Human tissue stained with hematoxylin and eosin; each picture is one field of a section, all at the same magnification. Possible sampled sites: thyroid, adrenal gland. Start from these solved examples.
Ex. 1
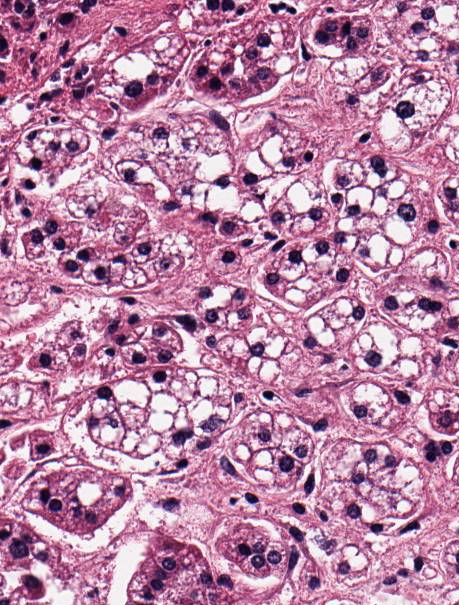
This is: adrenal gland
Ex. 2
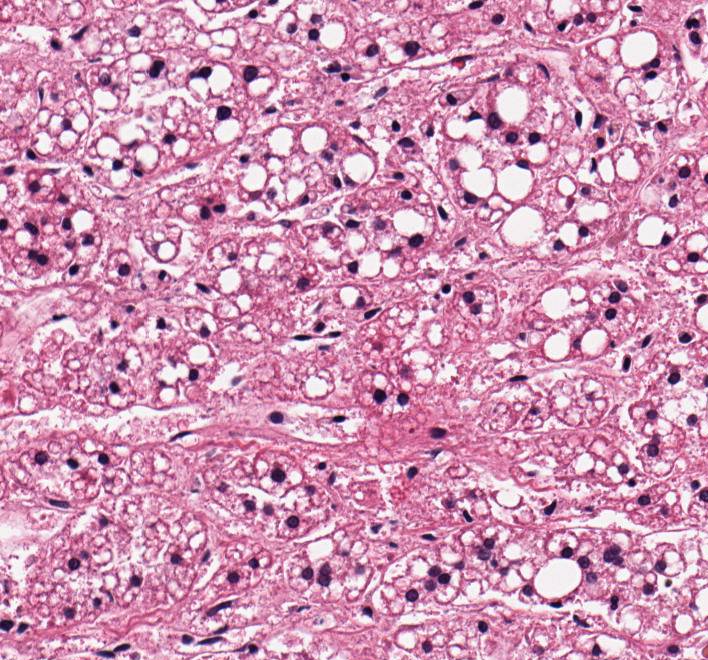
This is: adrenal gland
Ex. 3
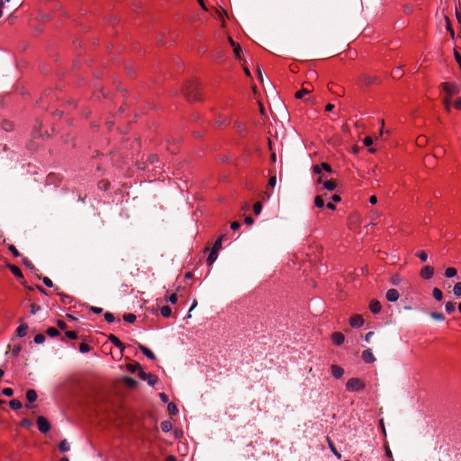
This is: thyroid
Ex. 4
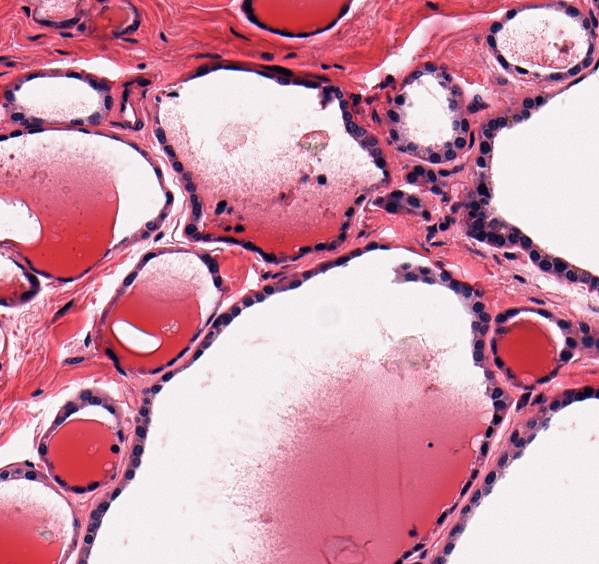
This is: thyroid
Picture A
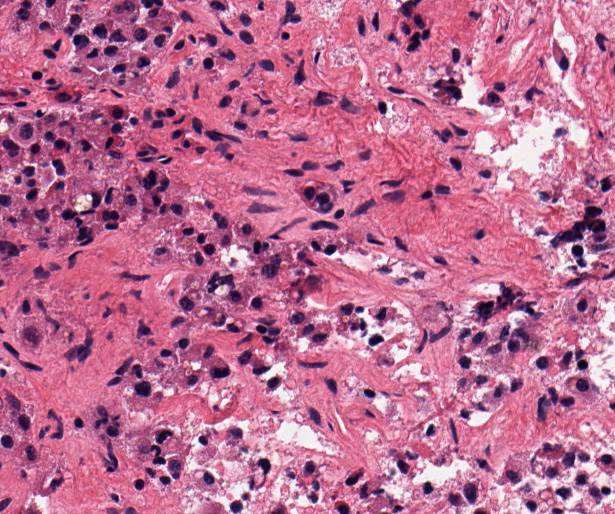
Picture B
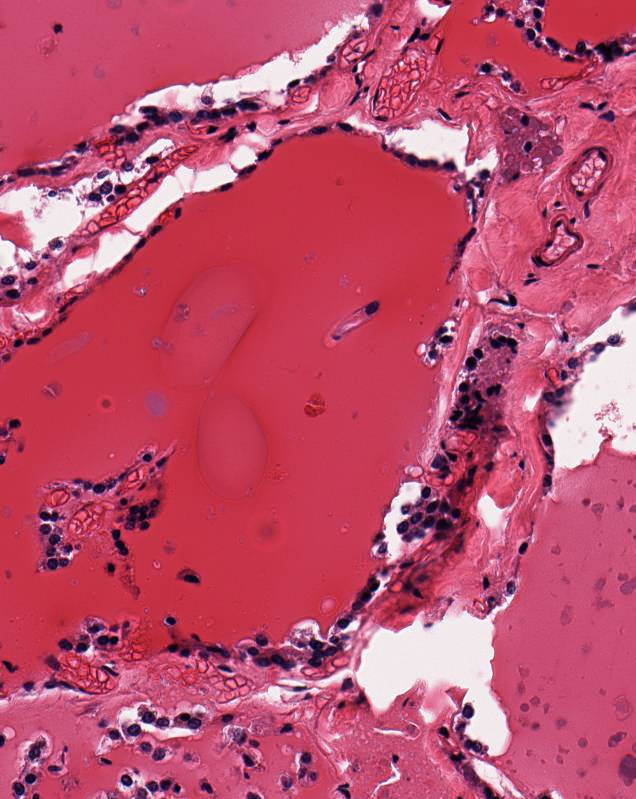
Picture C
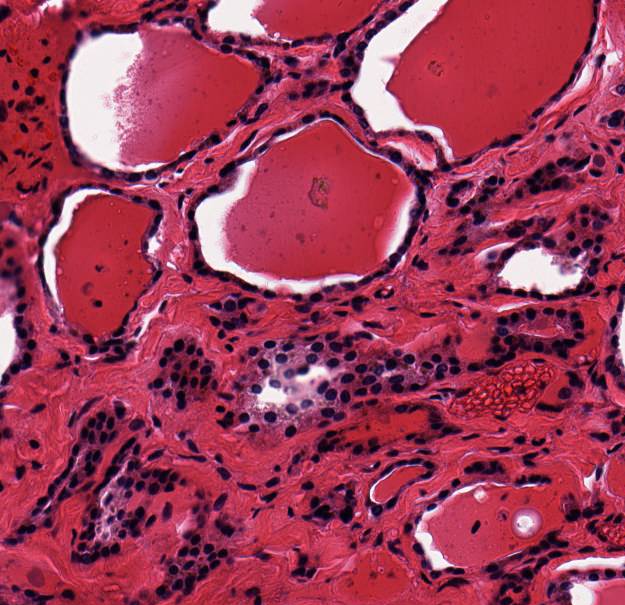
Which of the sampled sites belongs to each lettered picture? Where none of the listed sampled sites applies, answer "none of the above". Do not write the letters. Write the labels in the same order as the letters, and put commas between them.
none of the above, thyroid, thyroid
